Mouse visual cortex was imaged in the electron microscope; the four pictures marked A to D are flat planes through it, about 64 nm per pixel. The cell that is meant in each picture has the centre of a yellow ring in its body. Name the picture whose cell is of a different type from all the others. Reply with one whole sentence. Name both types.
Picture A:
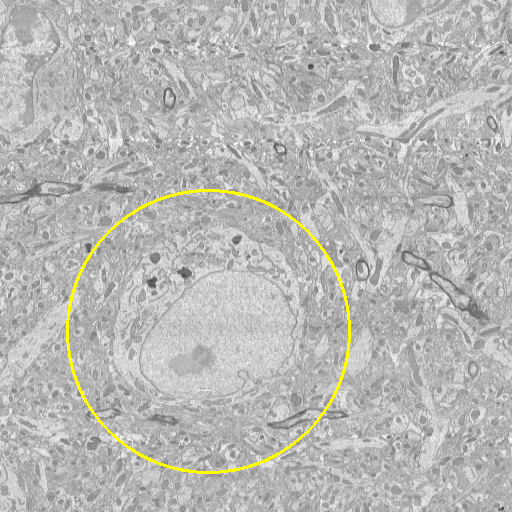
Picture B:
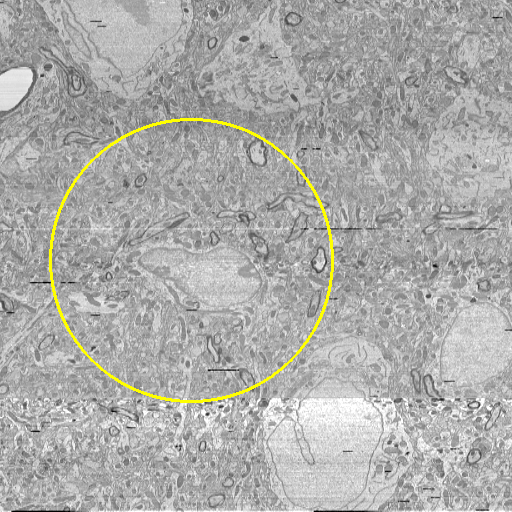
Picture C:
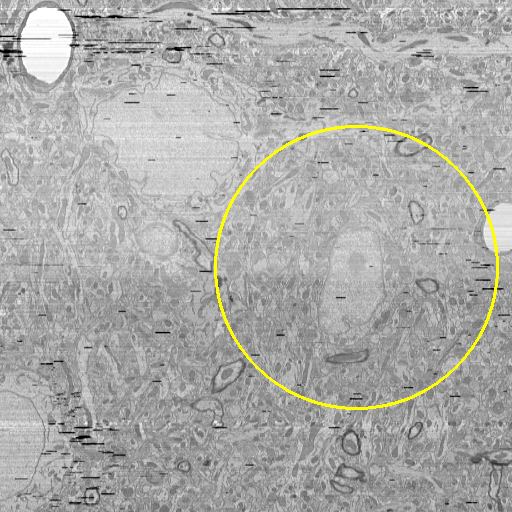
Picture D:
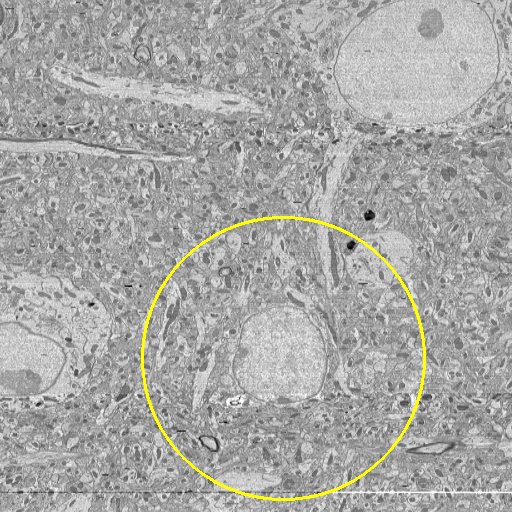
Unlike the rest, which show astrocytes, picture A shows an inhibitory neuron.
